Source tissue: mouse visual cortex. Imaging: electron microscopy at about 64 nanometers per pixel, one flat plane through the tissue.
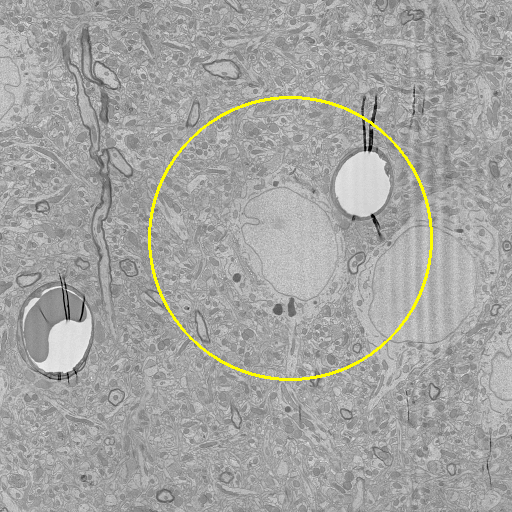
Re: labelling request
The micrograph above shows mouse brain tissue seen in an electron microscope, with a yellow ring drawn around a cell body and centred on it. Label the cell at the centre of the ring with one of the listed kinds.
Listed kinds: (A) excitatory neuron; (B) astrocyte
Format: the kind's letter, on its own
A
